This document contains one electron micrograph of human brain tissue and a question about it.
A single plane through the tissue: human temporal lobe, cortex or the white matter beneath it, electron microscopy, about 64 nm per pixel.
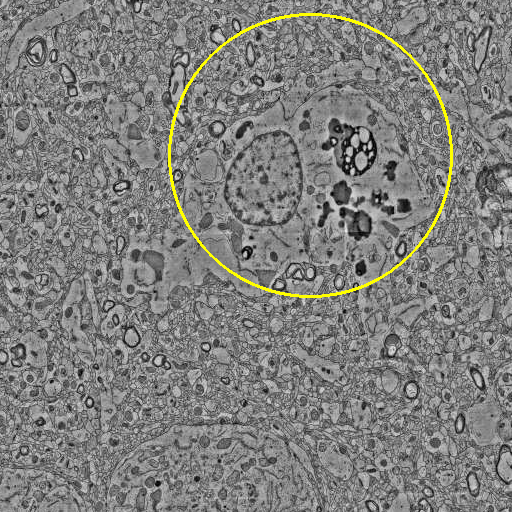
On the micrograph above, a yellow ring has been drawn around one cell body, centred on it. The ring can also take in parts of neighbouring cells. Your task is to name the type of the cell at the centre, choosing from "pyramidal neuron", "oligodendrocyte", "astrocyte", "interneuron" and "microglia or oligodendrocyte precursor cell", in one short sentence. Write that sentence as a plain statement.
Here the ring is centred on an astrocyte.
